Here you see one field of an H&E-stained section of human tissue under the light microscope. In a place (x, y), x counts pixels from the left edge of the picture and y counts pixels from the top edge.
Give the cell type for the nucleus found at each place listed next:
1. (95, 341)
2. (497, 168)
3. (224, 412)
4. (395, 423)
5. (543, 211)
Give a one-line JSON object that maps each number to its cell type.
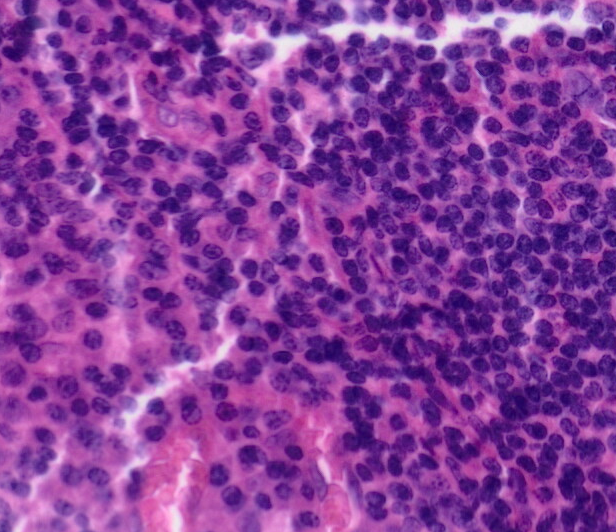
{"1": "plasma cell", "2": "small lymphocyte", "3": "plasma cell", "4": "plasma cell", "5": "small lymphocyte"}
